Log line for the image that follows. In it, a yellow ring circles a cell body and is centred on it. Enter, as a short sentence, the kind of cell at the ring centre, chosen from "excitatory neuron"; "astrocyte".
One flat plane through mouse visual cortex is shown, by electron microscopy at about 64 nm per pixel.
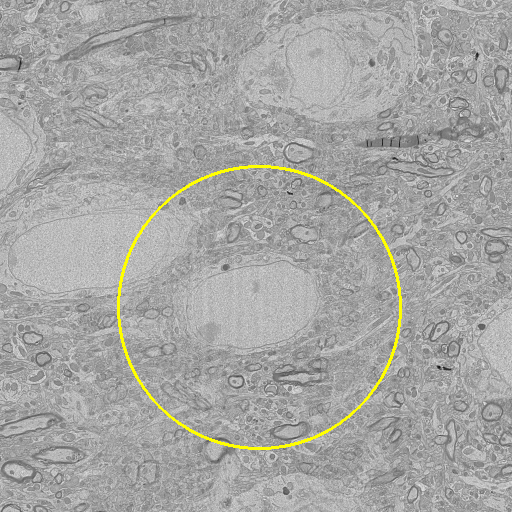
The ring centre is occupied by an excitatory neuron.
